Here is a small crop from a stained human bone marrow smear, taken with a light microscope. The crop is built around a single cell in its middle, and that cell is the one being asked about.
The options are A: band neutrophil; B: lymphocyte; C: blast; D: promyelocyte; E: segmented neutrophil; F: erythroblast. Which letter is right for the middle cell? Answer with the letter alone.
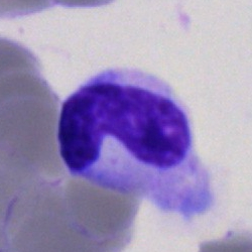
A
